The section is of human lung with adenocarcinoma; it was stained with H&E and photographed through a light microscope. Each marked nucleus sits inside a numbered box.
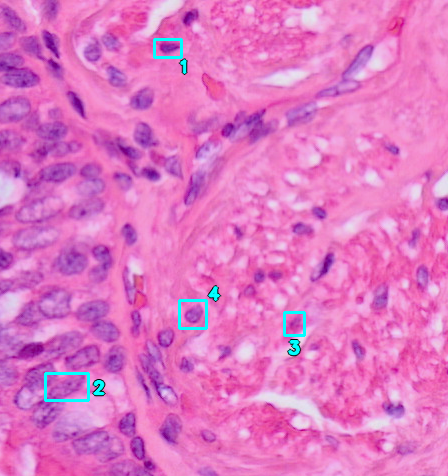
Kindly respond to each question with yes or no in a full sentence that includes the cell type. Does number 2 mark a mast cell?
No, at number 2 sits a ciliated epithelial cell, not a mast cell.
